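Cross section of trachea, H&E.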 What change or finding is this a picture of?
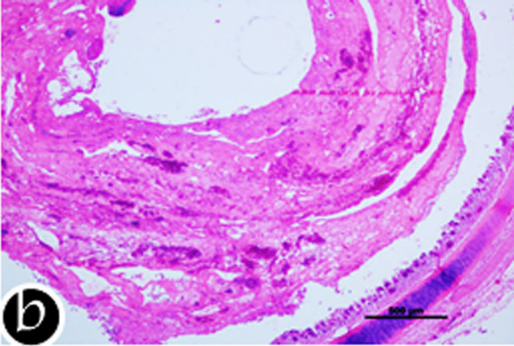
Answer: Intraluminal accumulation of necrotic debris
